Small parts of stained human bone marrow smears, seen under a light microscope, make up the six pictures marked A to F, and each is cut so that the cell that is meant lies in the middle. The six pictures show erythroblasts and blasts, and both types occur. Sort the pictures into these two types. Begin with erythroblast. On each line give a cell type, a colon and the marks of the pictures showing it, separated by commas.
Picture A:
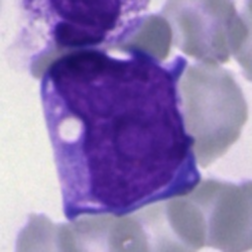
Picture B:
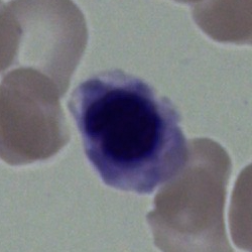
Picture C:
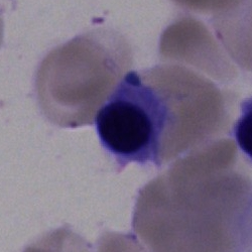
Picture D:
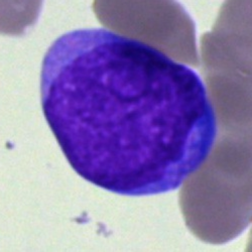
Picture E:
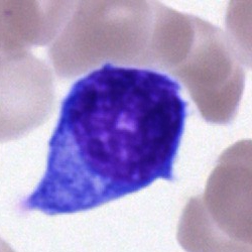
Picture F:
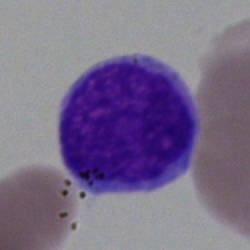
erythroblast: B, C
blast: A, D, E, F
